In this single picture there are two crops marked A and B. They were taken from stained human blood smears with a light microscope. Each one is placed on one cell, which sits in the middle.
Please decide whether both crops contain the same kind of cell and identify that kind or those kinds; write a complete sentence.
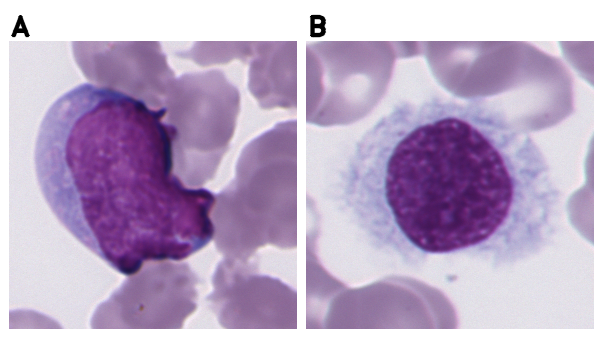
No, while a myeloblast is found in crop A, a hairy cell is found in crop B.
